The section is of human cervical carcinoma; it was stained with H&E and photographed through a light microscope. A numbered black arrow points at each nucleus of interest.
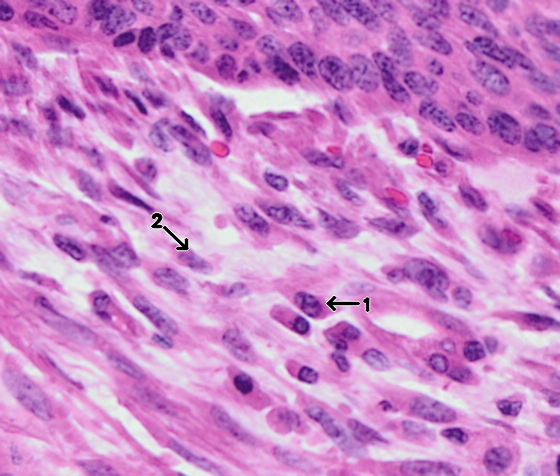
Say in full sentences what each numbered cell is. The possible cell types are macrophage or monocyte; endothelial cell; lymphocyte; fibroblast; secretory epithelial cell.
Cell 1 is a macrophage or monocyte and cell 2 is a fibroblast.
